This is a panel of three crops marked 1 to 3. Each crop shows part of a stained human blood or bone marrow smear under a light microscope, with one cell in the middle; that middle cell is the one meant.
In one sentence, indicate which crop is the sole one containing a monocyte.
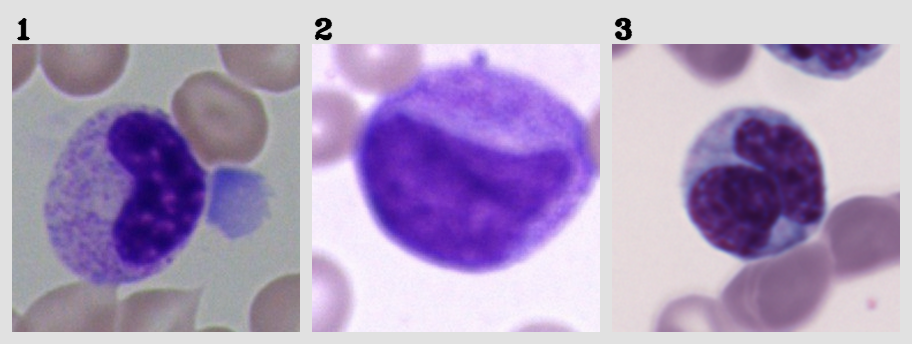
The crop bearing a monocyte is crop 3.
